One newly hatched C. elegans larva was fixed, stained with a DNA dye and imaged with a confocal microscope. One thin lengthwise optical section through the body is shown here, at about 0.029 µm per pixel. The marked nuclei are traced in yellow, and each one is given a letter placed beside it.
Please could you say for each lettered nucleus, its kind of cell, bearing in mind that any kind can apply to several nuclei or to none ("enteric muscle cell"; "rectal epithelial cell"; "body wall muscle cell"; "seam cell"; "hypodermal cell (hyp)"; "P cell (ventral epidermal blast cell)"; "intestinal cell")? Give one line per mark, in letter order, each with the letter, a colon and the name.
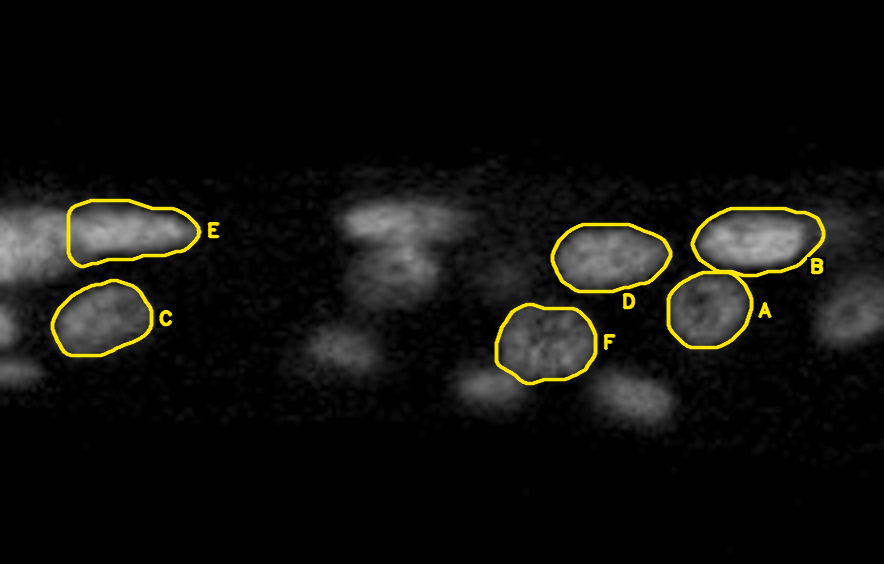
A: seam cell
B: body wall muscle cell
C: intestinal cell
D: P cell (ventral epidermal blast cell)
E: enteric muscle cell
F: hypodermal cell (hyp)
